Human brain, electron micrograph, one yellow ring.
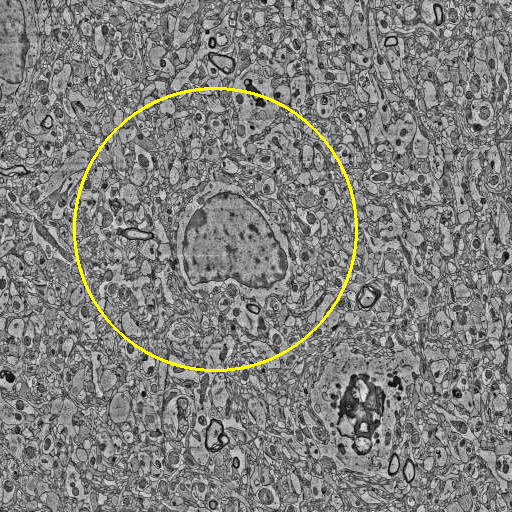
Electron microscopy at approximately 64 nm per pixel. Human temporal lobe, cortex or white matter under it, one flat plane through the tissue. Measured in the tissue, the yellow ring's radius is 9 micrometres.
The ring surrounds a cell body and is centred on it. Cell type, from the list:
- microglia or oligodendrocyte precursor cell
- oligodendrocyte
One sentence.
The yellow ring circles a microglial cell or oligodendrocyte precursor cell.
